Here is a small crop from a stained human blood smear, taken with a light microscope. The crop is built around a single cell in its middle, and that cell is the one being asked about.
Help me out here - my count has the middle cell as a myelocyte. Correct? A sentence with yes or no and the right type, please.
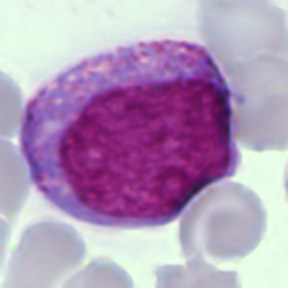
No, the central cell is not to be called a myelocyte, being a promyelocyte.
